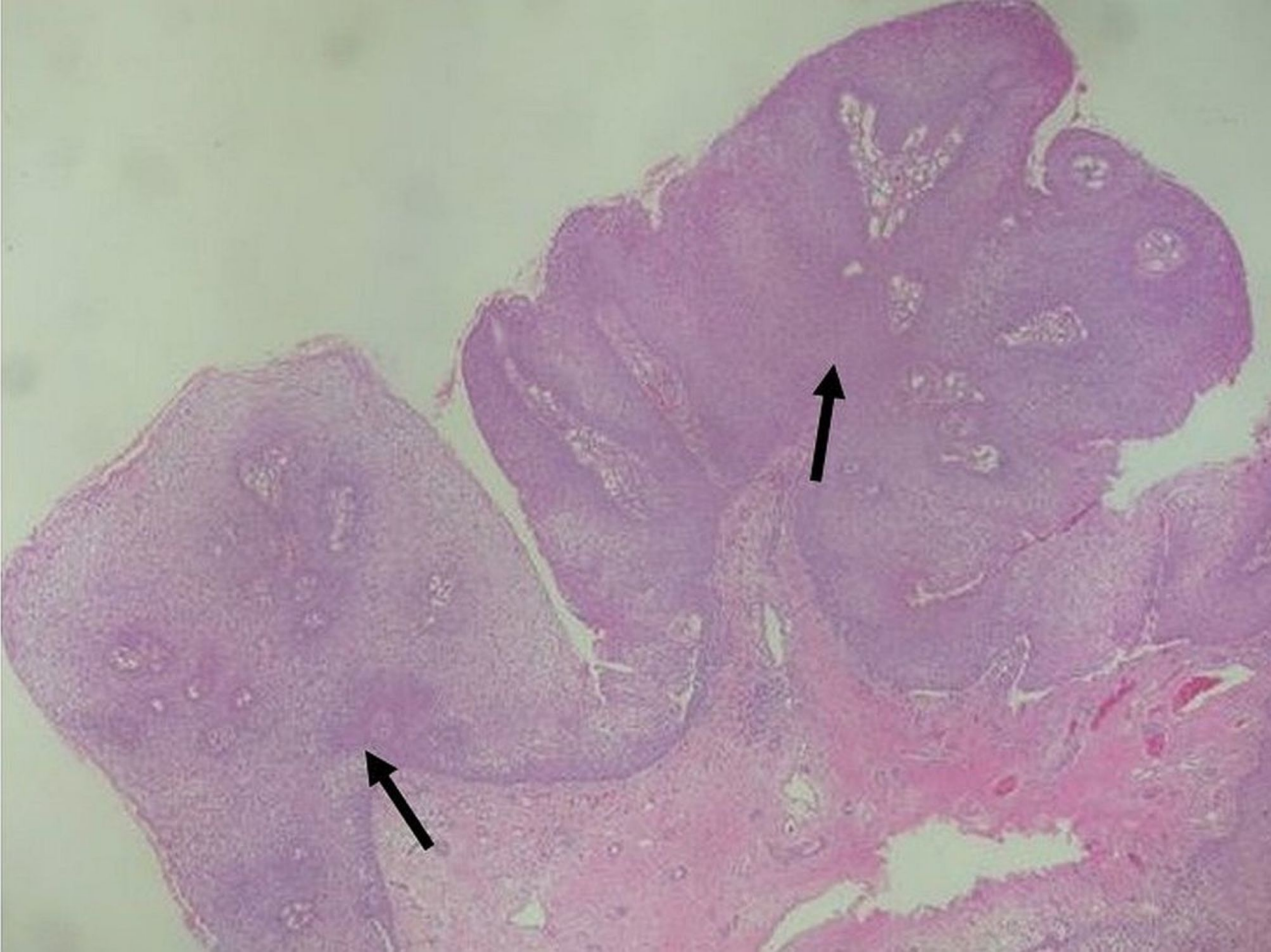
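This is a low-power view of a squamous epithelial growth that projects outward as broad papillary fronds. The purple-staining epithelium is greatly and irregularly thickened, and its lower border pushes in broad, rounded downgrowths into the pink connective tissue beneath. Small pale cores holding vessels are cut across within the thick epithelium.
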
